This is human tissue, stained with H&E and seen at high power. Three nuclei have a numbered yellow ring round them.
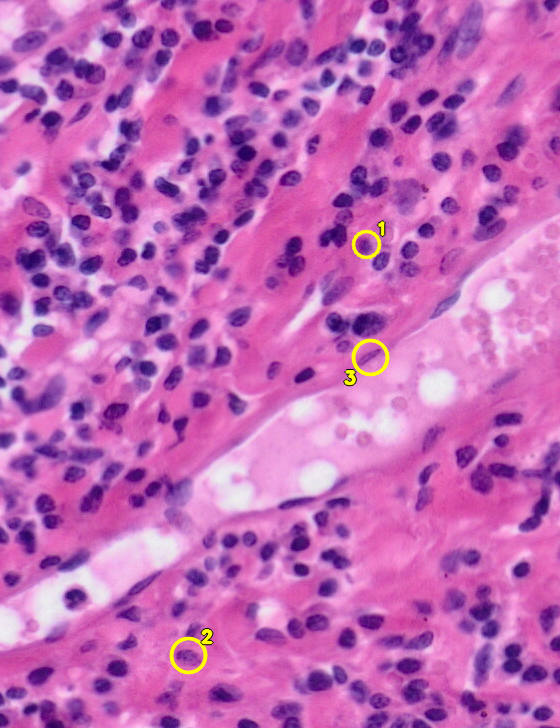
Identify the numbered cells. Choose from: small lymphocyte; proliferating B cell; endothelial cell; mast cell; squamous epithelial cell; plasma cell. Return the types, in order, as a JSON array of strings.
["endothelial cell", "mast cell", "endothelial cell"]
